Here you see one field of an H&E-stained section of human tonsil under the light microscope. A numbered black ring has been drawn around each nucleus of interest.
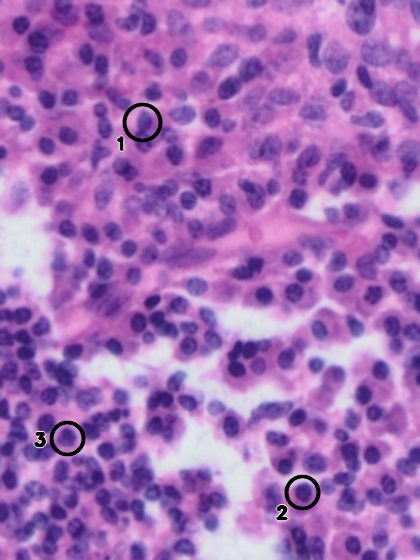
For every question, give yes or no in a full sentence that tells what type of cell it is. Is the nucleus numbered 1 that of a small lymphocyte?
No, it is not a small lymphocyte that bears number 1 but a plasma cell.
